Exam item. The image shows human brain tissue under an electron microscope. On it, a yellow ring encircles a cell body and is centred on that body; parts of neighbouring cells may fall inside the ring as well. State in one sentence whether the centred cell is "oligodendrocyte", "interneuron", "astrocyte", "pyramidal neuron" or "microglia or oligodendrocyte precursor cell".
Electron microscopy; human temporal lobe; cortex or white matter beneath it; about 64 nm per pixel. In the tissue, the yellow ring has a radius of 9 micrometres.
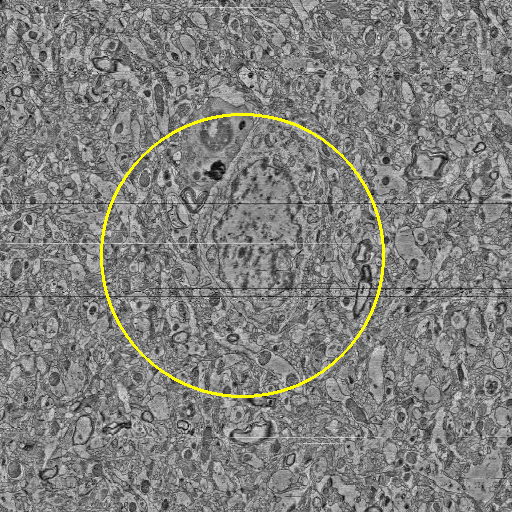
The cell body centred in the ring is an interneuron.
